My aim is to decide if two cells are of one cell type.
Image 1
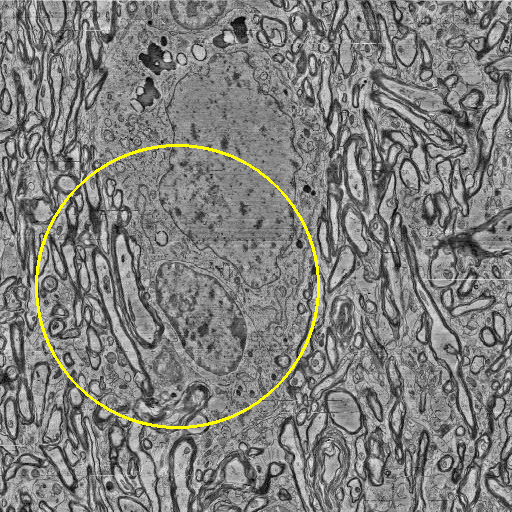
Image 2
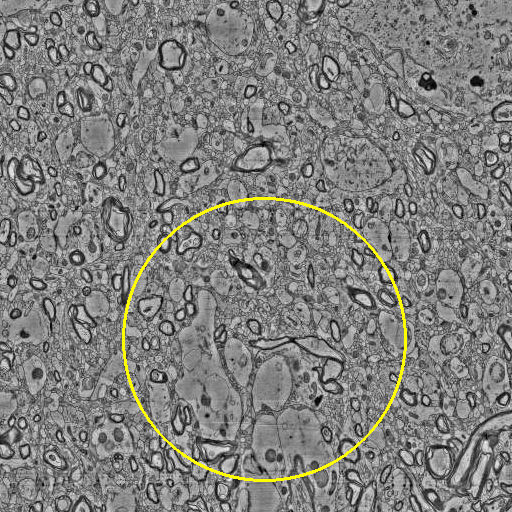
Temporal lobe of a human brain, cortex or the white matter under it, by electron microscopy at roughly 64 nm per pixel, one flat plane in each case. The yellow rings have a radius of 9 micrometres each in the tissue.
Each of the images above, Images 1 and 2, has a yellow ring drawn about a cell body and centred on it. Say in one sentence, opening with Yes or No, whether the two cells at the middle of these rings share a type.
Yes, in Images 1 and 2 the cells at the middle of the rings share one type.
